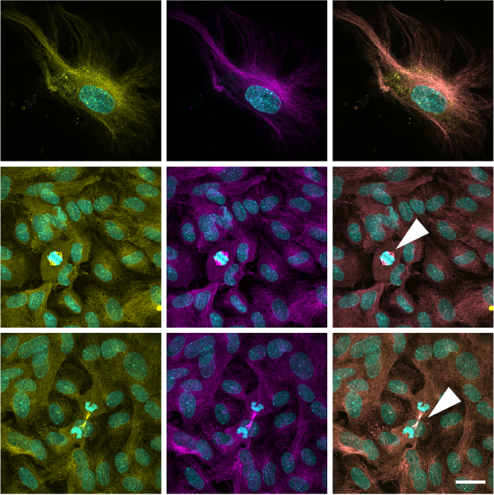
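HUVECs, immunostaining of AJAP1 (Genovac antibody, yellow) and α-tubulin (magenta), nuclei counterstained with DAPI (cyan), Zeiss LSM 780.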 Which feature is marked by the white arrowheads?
Spindle apparatus.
